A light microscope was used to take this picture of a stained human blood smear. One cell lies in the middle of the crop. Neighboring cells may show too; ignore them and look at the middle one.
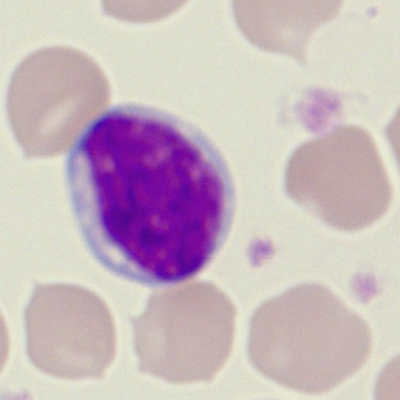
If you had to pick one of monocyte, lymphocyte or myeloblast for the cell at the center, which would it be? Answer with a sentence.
The cell marked by its central position in the crop is a lymphocyte.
